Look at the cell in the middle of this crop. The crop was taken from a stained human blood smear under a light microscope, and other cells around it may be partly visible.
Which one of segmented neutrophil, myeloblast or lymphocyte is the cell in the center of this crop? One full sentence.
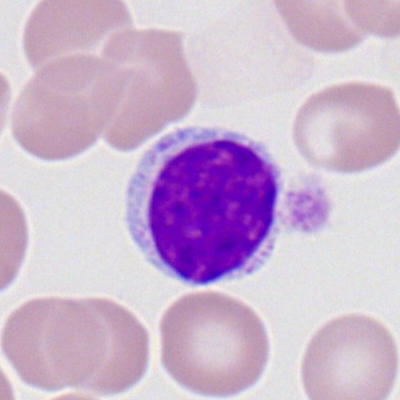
The centrally located cell in the crop is a lymphocyte.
